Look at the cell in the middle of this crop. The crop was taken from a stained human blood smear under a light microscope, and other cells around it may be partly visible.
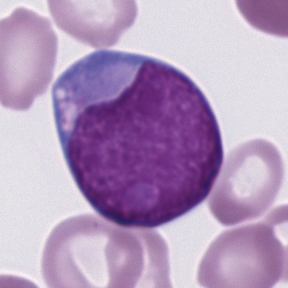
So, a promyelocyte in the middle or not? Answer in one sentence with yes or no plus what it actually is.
No, a promyelocyte is not what the central cell is; it is a myeloblast.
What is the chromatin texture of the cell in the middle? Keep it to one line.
The chromatin shows a fine pattern without coarse clumps.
